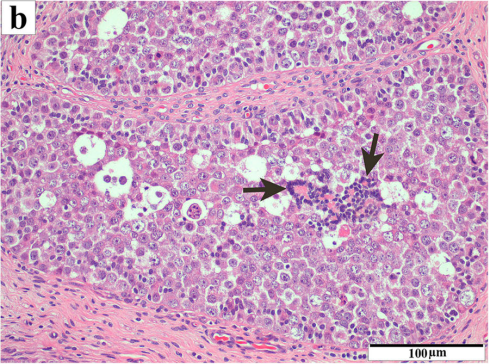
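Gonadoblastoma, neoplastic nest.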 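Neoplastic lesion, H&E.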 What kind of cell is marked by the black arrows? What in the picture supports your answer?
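The marked cells are small with dark, crowded nuclei. They cluster among larger pale cells near round clear to pink bodies.
Conclusion: Sertoli/granulosa-like cells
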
